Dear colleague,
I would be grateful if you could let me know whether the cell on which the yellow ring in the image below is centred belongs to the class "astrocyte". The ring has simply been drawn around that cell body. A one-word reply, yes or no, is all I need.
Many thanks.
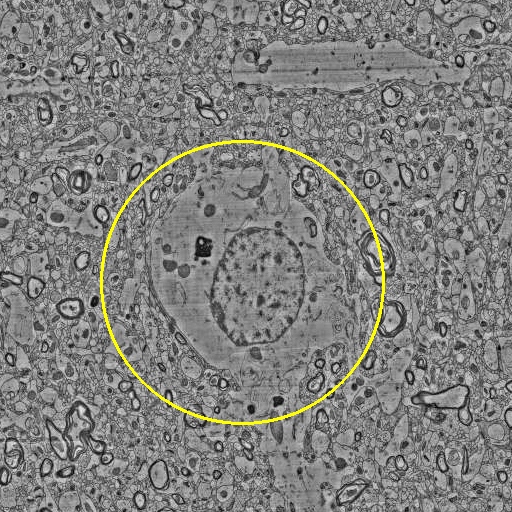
yes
